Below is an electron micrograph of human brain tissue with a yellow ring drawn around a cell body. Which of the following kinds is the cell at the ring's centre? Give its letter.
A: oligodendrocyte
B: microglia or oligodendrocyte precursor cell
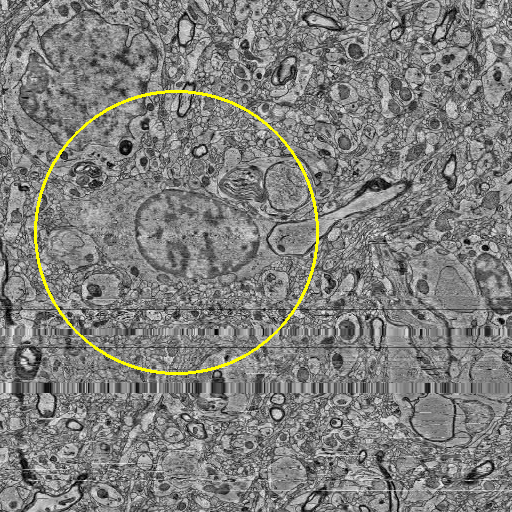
A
